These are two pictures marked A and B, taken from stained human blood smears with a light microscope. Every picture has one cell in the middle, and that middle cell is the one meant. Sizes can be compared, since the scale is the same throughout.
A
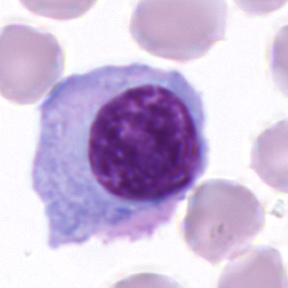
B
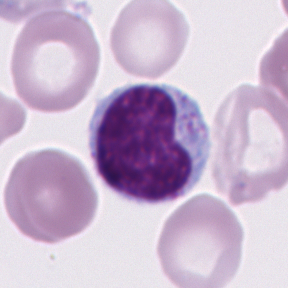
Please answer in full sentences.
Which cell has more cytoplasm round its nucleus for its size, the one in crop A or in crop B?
In crop A the nucleus takes up the smaller part of its cell.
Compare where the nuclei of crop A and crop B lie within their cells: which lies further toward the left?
It is the nucleus in crop B that lies further toward the left of its cell.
